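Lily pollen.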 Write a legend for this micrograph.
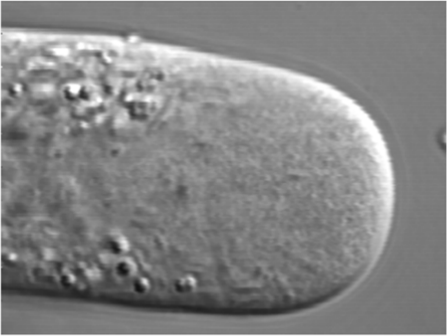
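The apical region is filled with finely granular, clear cytoplasm. Larger refractile granules are scattered farther back from the tip, near the upper and lower edges.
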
